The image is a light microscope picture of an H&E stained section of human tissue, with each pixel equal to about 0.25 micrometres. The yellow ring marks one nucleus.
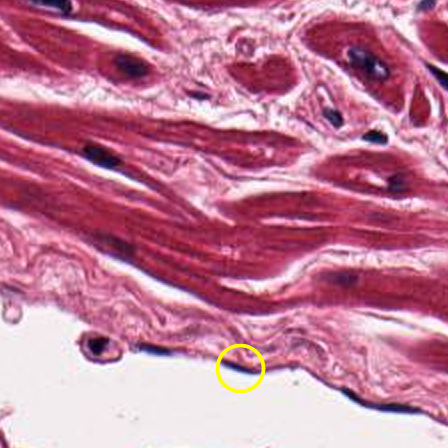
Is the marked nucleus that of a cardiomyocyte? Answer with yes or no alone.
no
